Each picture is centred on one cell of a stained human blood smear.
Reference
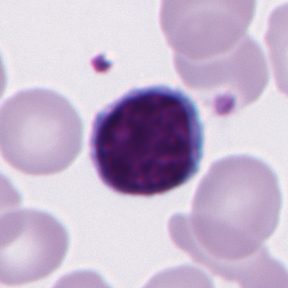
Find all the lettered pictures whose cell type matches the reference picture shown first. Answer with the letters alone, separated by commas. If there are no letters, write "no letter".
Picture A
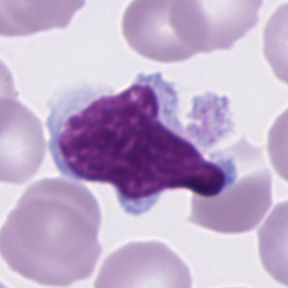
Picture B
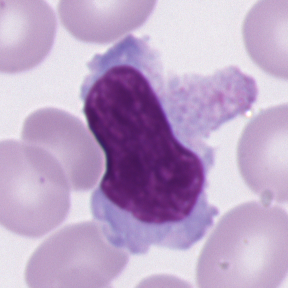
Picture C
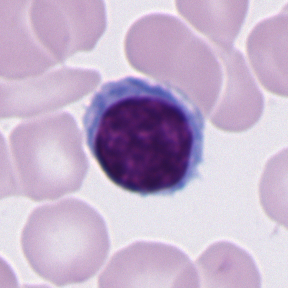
C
